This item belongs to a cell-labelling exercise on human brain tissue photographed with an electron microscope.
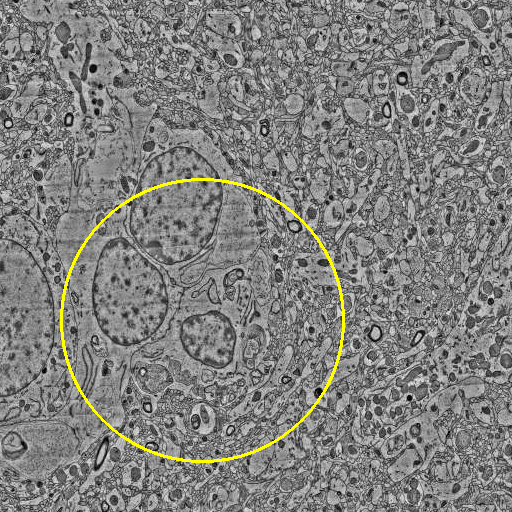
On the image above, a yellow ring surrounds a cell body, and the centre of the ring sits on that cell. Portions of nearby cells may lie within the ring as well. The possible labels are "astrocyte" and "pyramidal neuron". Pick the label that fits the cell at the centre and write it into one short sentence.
This cell should be labelled as an astrocyte.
